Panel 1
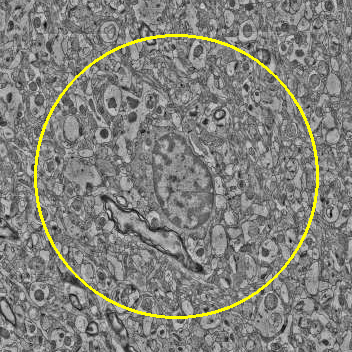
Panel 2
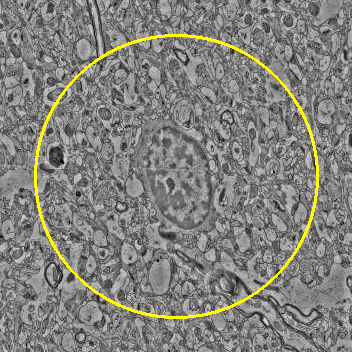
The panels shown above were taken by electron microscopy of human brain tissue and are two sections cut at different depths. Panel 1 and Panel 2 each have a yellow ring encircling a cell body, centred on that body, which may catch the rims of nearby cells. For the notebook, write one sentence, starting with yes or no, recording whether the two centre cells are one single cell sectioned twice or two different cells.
Yes, one cell appears twice, once in each ring.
